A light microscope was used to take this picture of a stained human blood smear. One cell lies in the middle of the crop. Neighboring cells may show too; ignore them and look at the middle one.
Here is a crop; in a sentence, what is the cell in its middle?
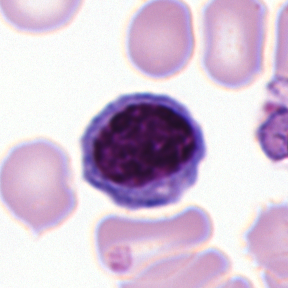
In the crop, the cell of interest at the centre is a normoblast.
